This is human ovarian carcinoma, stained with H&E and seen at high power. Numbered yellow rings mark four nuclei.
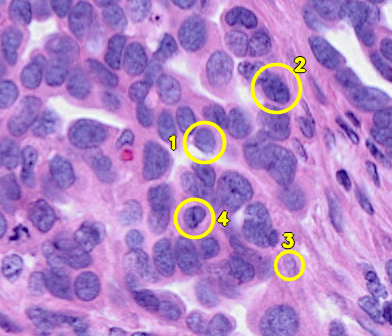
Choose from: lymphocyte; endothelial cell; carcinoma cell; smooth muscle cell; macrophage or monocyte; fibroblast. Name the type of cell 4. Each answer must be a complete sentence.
The cell to which the number 4 is assigned is a macrophage or monocyte.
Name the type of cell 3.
Identified by the number 3, the cell is a fibroblast.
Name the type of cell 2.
The one numbered 2 among the marked cells is a carcinoma cell.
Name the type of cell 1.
The cell to which the number 1 is assigned is a carcinoma cell.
